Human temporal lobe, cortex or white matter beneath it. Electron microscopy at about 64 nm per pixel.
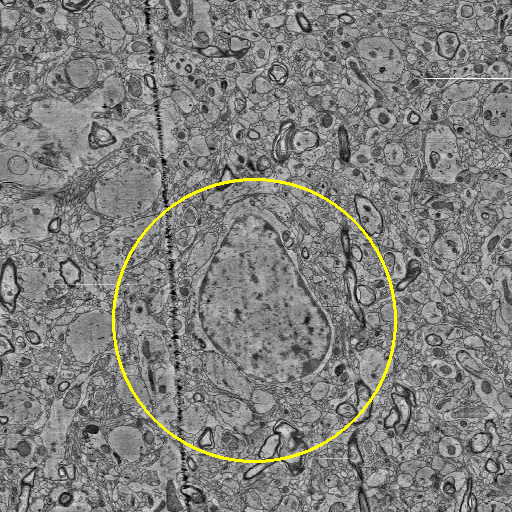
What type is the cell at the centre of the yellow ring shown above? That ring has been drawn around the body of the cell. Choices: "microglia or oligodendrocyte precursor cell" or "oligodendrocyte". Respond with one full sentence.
My answer is that a microglial cell or oligodendrocyte precursor cell lies at the centre of the yellow ring above.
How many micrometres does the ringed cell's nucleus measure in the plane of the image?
The ringed cell's nucleus measures approximately 11 by 8 micrometres in this plane.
